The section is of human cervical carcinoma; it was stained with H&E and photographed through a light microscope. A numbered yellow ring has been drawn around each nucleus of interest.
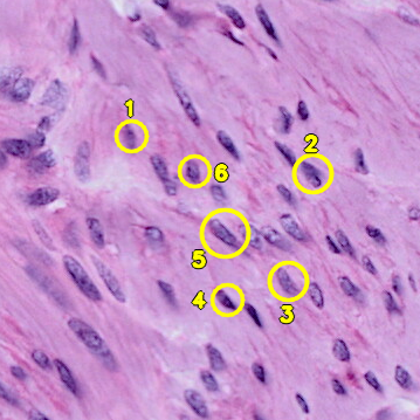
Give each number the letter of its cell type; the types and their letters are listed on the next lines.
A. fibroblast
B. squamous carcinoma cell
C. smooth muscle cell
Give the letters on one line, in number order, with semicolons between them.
C; A; C; A; C; C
